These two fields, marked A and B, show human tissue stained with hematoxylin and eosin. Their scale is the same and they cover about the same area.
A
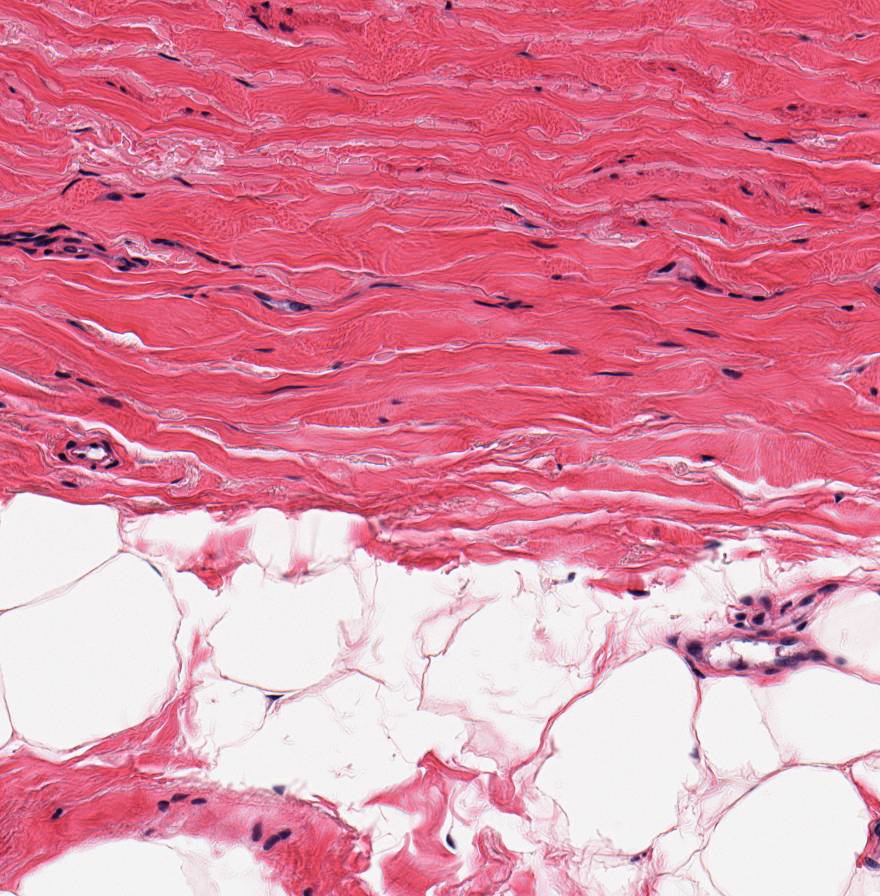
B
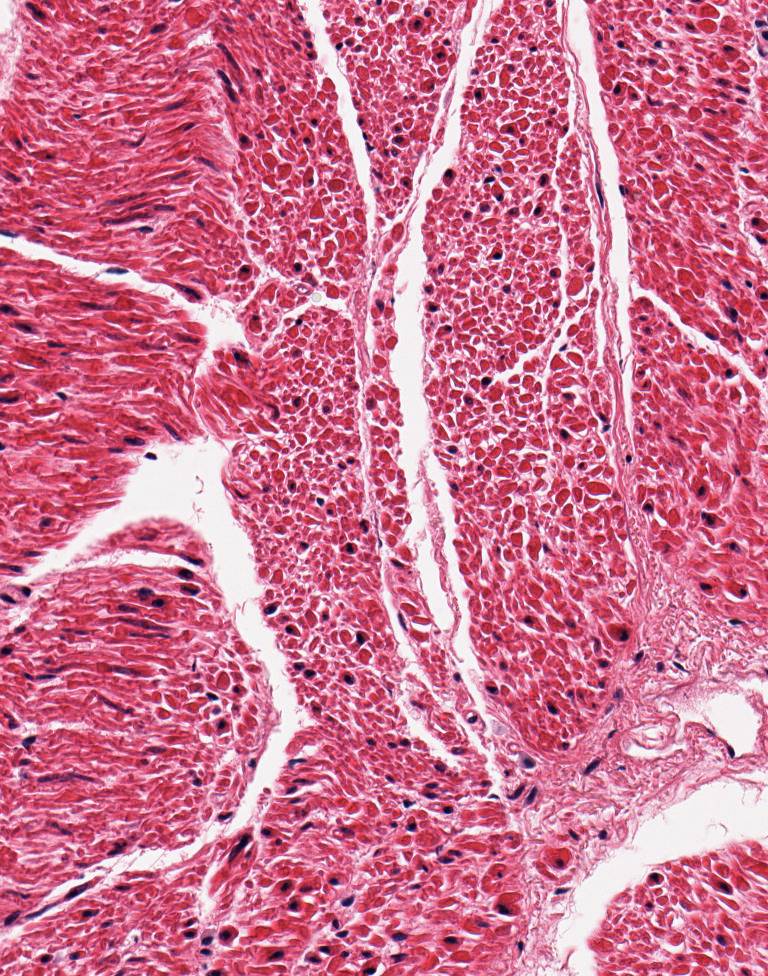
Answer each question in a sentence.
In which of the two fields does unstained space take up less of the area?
Field B has less white space.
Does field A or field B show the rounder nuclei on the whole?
On the whole the nuclei of field B are rounder than those of field A.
